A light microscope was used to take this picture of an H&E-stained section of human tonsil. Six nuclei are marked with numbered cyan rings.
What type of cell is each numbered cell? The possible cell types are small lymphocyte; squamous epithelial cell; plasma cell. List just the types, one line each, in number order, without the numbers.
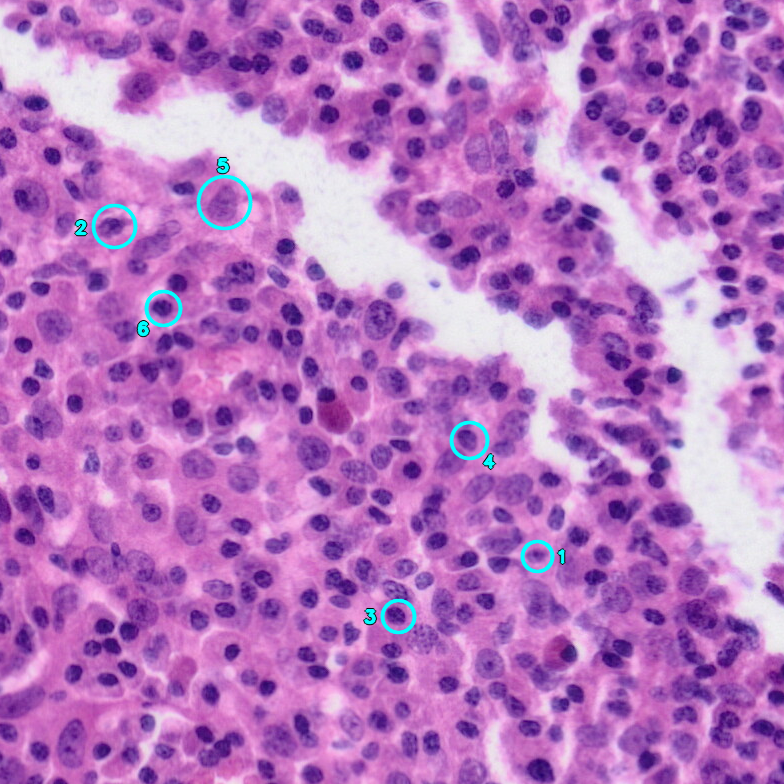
squamous epithelial cell
squamous epithelial cell
plasma cell
squamous epithelial cell
squamous epithelial cell
plasma cell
